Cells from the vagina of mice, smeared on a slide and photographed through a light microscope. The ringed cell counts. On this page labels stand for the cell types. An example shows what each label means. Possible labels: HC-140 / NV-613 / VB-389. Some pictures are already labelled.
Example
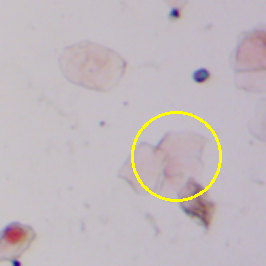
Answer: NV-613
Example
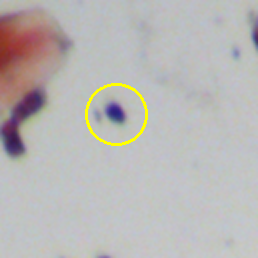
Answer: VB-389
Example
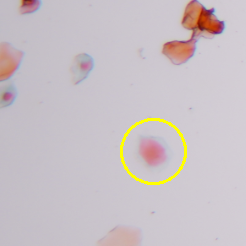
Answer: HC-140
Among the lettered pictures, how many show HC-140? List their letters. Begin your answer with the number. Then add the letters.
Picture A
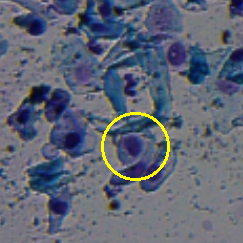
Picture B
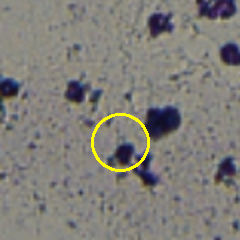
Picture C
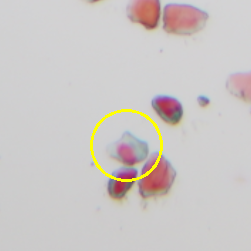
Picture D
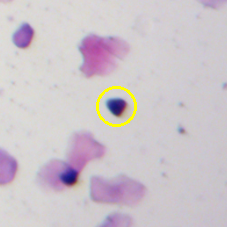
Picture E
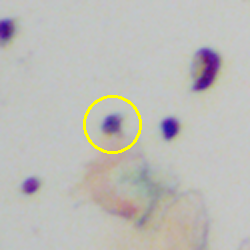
2: A, C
